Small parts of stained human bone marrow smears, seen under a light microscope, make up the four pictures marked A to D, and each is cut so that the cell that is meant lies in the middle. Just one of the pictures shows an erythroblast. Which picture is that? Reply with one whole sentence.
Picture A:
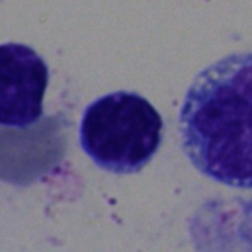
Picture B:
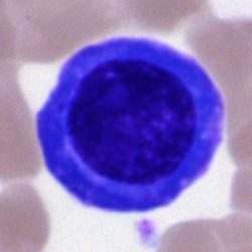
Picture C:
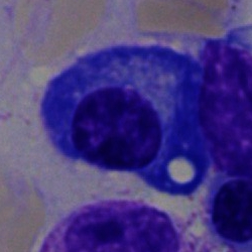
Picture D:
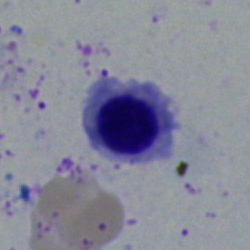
The erythroblast is the one in picture D.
